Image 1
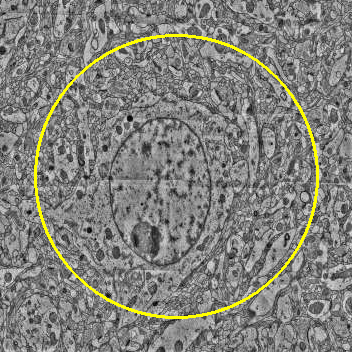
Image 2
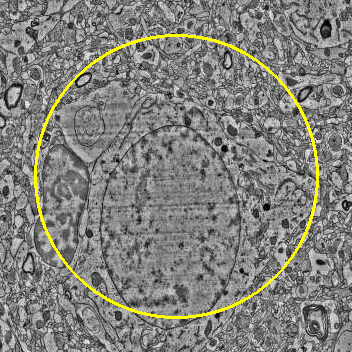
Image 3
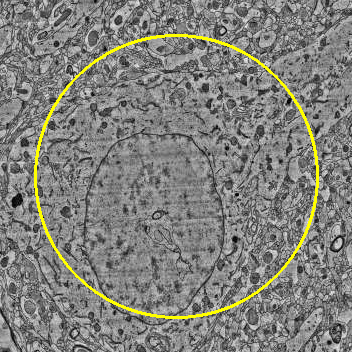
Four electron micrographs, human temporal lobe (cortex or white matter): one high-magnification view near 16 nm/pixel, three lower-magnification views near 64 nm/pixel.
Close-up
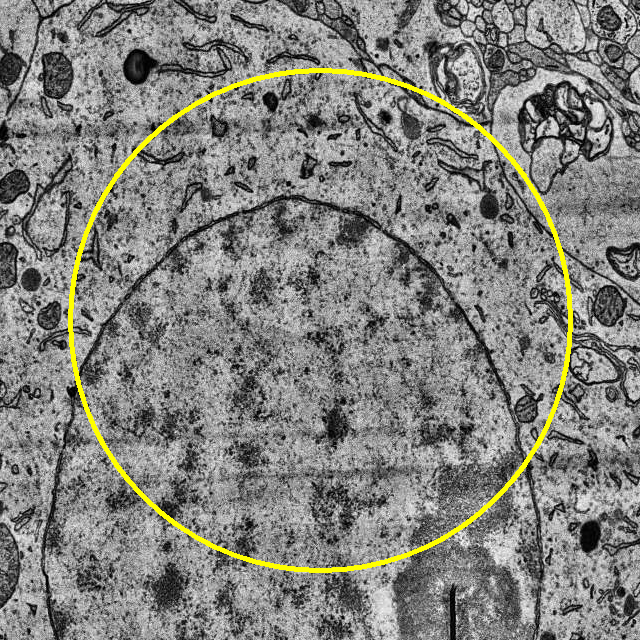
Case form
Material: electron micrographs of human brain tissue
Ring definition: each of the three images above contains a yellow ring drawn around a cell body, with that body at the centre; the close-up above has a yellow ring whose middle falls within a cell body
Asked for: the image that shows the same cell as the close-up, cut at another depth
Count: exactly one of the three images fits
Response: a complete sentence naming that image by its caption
Of all the ringed cells, the close-up shows the one in Image 2.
